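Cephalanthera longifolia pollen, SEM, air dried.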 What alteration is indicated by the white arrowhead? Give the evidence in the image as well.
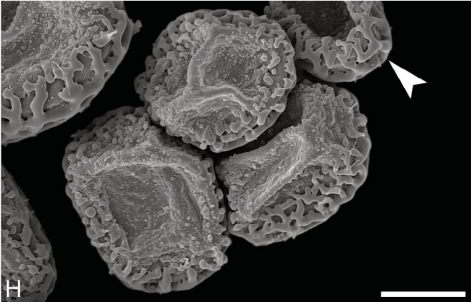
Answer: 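The marked grain is concave with a hollow interior and raised rim. Its reticulate wall curves around an open cavity.
Cup-shaped.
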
